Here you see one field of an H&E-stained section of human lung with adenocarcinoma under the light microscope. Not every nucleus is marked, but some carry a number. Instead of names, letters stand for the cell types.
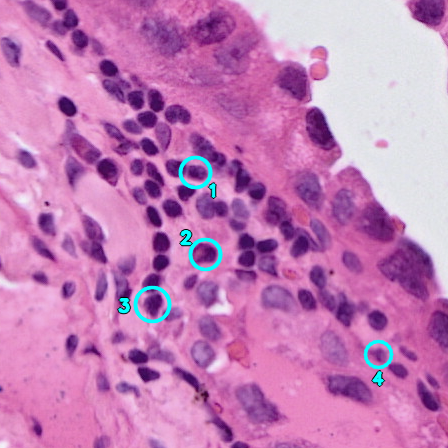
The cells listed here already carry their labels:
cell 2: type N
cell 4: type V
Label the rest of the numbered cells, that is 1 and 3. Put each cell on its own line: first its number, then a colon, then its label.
1: type V
3: type V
